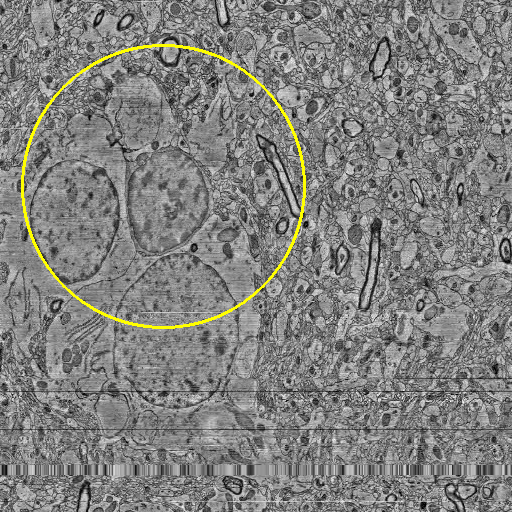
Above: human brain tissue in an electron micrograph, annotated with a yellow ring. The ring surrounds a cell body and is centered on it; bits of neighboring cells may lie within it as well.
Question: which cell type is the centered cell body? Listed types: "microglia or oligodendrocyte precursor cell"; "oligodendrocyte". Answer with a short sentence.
The centered cell body is an oligodendrocyte.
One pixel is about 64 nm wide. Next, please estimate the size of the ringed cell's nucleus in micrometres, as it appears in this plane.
About 7 by 5 micrometers, in this plane.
